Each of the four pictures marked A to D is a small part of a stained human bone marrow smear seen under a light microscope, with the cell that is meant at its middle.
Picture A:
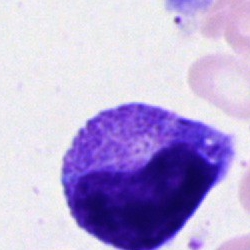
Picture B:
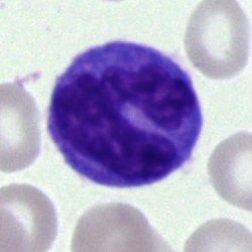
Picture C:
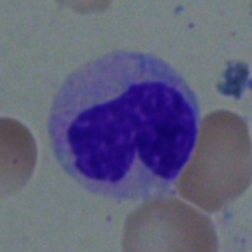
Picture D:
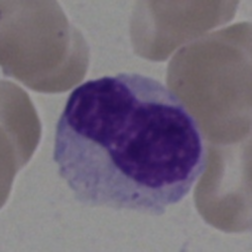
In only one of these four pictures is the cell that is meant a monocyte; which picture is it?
B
